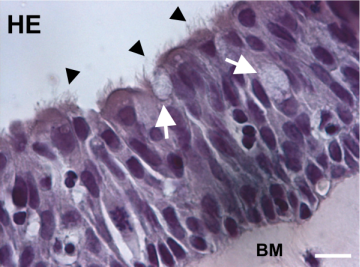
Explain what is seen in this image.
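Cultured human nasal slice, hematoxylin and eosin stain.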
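Nuclei sit at several heights, giving a pseudostratified look, and fine hair-like cilia fringe the apical border of the surface cells. Scattered among them are rounded cells with pale, almost empty-looking cytoplasm, the goblet cells. At the bottom the epithelium rests on a smooth pinkish basal membrane.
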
